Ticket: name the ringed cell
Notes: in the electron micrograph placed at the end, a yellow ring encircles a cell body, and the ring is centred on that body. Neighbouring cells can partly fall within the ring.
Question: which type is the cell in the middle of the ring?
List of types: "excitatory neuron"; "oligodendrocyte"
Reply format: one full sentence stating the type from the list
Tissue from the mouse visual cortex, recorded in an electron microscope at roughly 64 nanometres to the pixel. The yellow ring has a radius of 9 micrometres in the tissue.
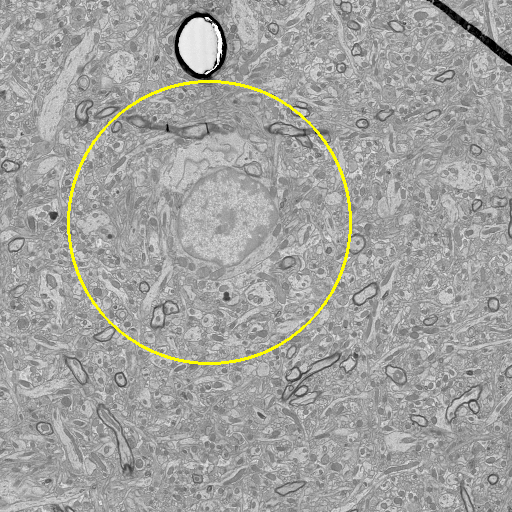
The cell sitting at the centre of the yellow ring is an oligodendrocyte.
